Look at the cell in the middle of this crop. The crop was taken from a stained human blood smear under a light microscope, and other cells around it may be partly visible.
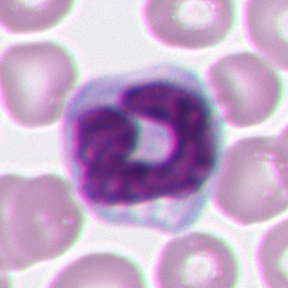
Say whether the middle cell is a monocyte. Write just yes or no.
yes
